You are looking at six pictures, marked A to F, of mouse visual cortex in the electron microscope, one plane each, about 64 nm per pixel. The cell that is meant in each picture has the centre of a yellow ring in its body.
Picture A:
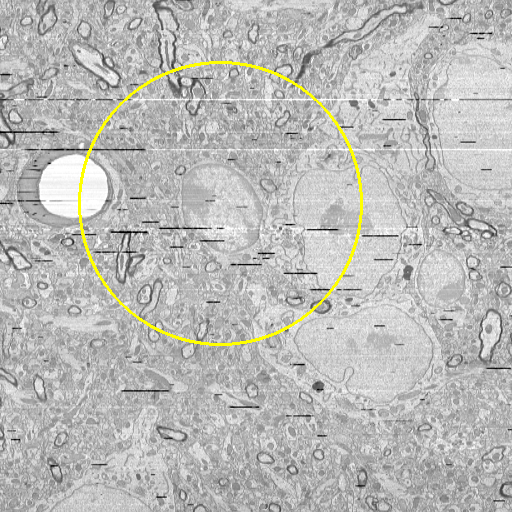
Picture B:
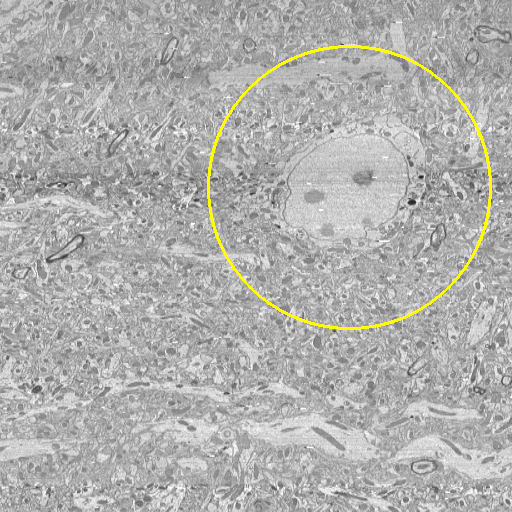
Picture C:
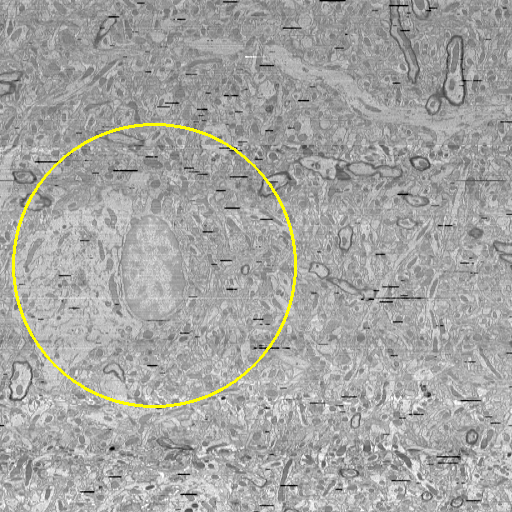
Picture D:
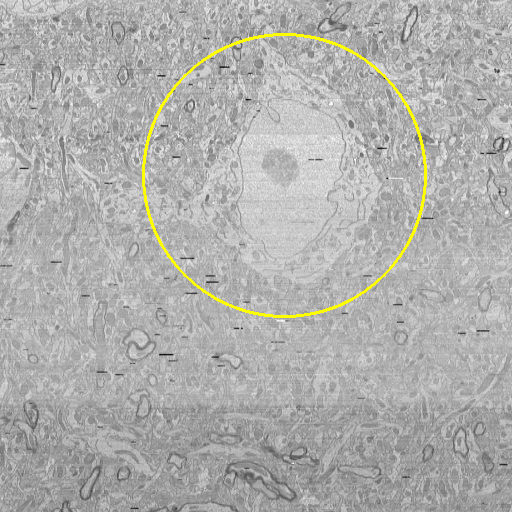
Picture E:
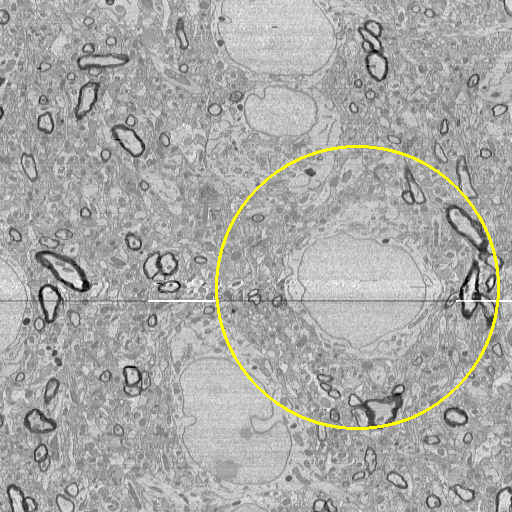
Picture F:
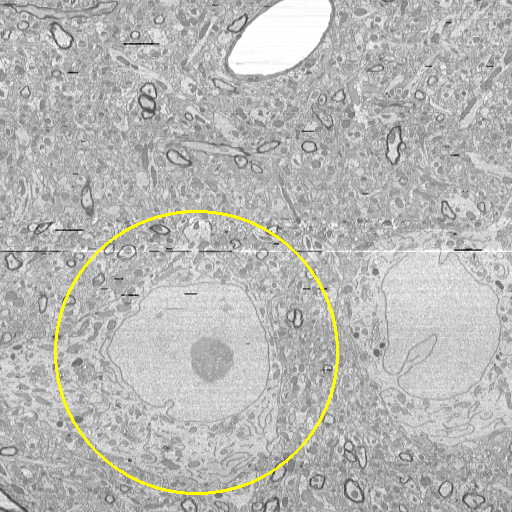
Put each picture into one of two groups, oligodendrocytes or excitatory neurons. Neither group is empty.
Pictures A and C show oligodendrocytes, and pictures B, D, E and F show excitatory neurons.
